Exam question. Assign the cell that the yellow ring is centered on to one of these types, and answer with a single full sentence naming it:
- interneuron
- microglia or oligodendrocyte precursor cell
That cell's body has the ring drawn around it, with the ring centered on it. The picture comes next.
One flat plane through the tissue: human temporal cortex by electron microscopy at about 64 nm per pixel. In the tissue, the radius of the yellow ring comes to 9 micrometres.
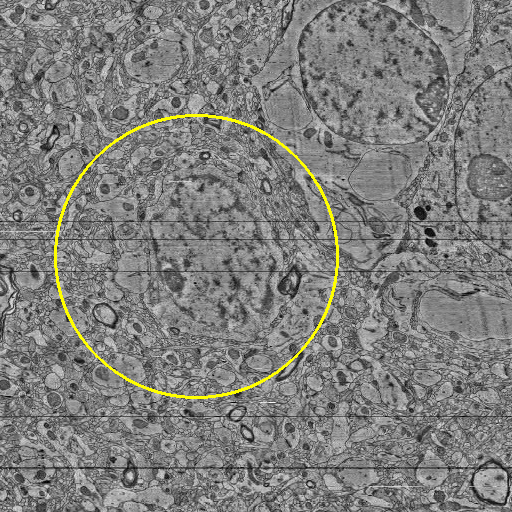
In the micrograph, the cell the yellow ring is centered on is an interneuron.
